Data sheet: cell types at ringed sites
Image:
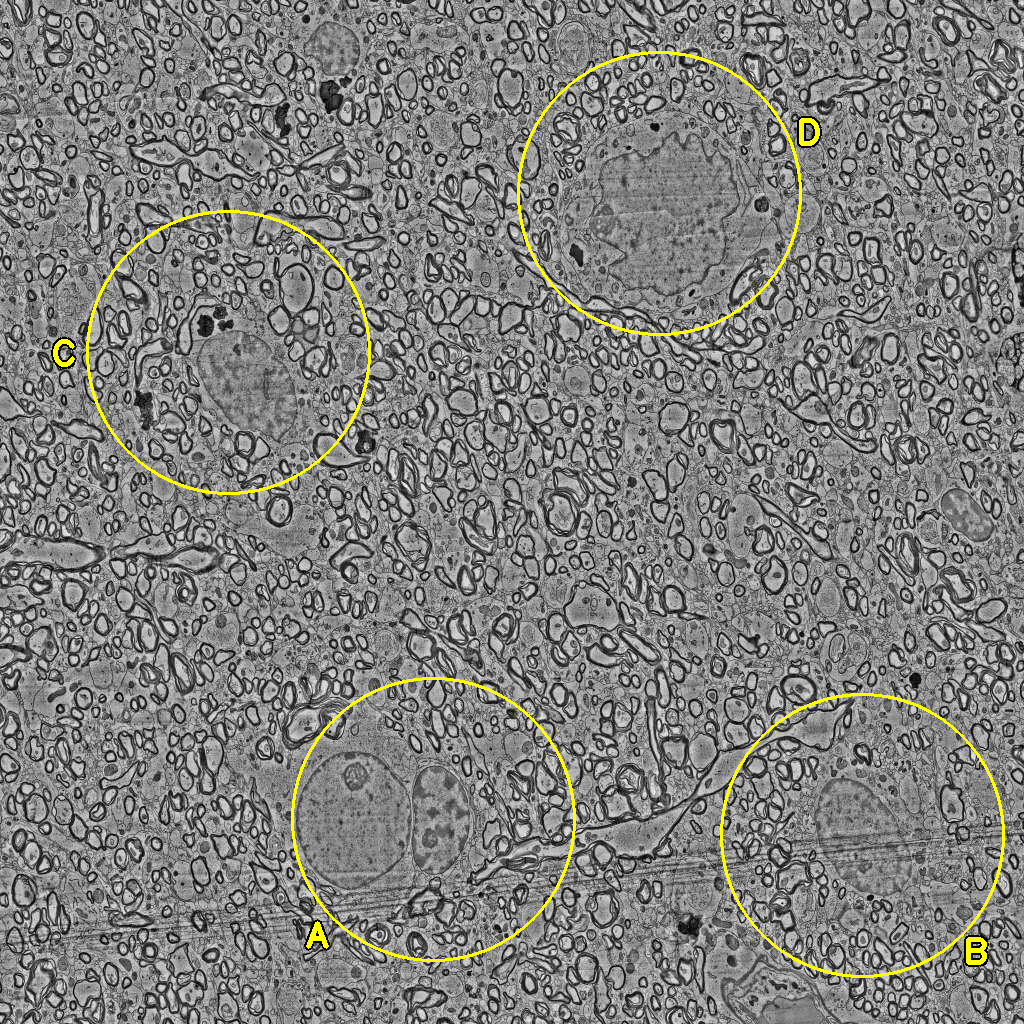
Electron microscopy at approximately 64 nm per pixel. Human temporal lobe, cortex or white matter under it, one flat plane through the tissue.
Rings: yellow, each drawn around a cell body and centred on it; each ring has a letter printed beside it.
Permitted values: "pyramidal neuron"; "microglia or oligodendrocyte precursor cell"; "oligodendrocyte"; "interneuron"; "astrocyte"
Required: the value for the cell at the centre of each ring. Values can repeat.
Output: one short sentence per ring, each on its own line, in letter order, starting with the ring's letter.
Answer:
Ring A has a microglial cell or oligodendrocyte precursor cell at its centre.
Ring B has an oligodendrocyte at its centre.
Ring C has an oligodendrocyte at its centre.
Ring D has an interneuron at its centre.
